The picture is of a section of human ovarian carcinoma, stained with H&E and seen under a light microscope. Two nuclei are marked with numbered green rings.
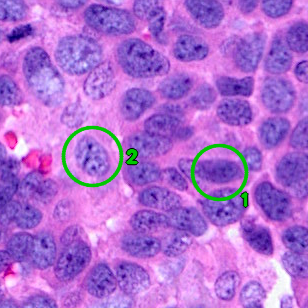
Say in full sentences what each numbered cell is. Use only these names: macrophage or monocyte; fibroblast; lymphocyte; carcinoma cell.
Cell 1 is a carcinoma cell and cell 2 is a fibroblast.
